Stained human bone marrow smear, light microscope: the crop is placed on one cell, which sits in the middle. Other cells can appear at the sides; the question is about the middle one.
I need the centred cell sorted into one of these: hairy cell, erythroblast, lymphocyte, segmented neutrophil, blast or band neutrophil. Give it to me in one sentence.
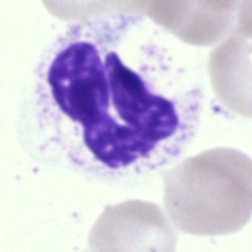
The identification for the central cell is a segmented neutrophil.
